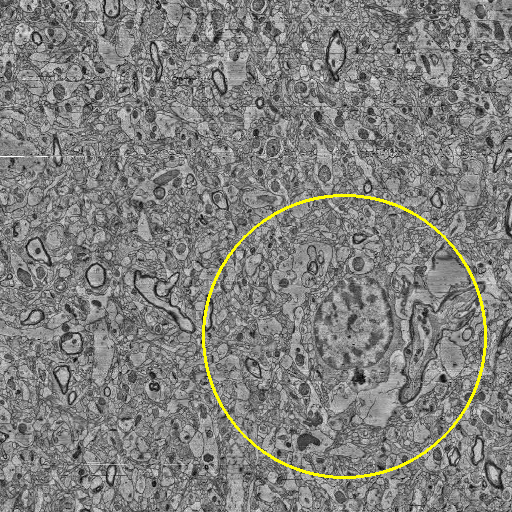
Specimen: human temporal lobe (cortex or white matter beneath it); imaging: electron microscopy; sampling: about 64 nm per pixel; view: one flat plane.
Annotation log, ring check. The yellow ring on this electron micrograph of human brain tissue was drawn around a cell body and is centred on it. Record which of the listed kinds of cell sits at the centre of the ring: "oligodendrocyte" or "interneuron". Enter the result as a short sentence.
The cell at the centre of the ring is an oligodendrocyte.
